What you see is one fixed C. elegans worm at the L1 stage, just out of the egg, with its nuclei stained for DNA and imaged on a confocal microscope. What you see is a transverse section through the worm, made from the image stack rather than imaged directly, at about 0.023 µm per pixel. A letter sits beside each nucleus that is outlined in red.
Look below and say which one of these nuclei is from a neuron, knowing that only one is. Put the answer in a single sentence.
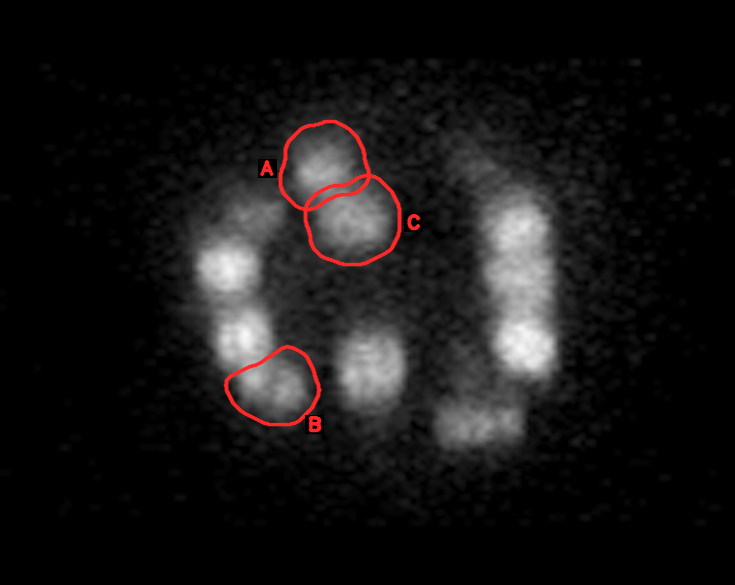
A is the nucleus of a neuron.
